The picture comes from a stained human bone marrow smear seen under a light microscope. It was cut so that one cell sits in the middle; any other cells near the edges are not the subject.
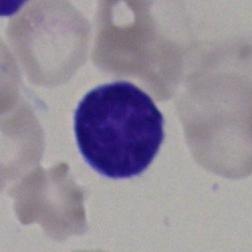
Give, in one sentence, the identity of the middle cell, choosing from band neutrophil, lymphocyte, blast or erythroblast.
The cell found in the middle of this crop is a lymphocyte.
